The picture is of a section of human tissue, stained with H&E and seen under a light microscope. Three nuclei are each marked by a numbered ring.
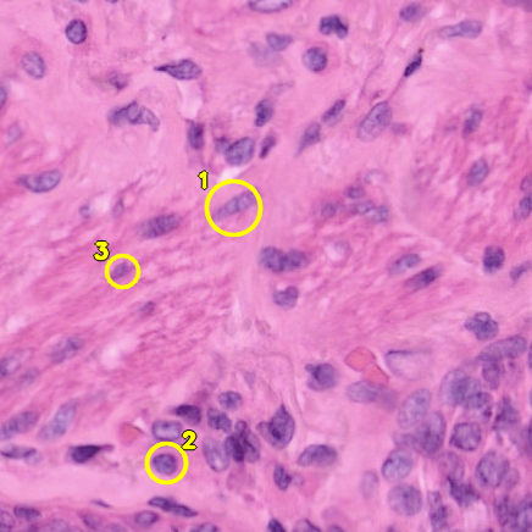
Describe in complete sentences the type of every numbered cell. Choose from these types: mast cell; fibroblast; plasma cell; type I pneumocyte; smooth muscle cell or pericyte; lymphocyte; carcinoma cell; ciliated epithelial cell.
Cells 1 and 3 are smooth muscle cells or pericytes. Cell 2 is a mast cell.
